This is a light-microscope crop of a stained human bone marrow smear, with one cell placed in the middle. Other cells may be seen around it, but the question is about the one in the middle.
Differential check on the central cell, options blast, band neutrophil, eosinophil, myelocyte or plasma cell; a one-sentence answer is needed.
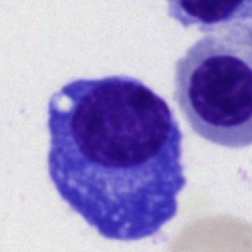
As for the central cell, it is a plasma cell.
